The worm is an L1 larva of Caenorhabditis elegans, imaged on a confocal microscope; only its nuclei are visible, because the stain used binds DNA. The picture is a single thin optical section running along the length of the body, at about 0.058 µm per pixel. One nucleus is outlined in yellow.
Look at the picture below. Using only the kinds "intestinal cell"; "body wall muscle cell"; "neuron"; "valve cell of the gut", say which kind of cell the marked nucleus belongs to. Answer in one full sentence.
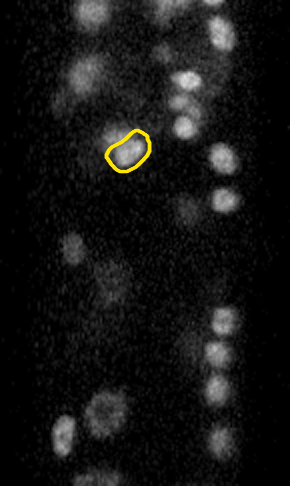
It belongs to a valve cell of the gut.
